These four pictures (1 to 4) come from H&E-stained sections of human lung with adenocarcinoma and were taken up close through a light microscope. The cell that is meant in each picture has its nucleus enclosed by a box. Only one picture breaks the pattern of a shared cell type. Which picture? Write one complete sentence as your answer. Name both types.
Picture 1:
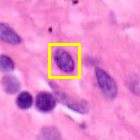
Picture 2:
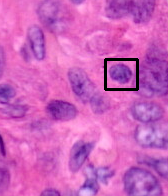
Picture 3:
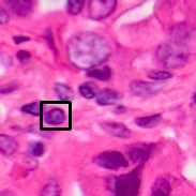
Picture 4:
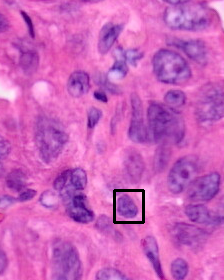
All pictures except 1 show lymphocytes; picture 1 shows a mast cell.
